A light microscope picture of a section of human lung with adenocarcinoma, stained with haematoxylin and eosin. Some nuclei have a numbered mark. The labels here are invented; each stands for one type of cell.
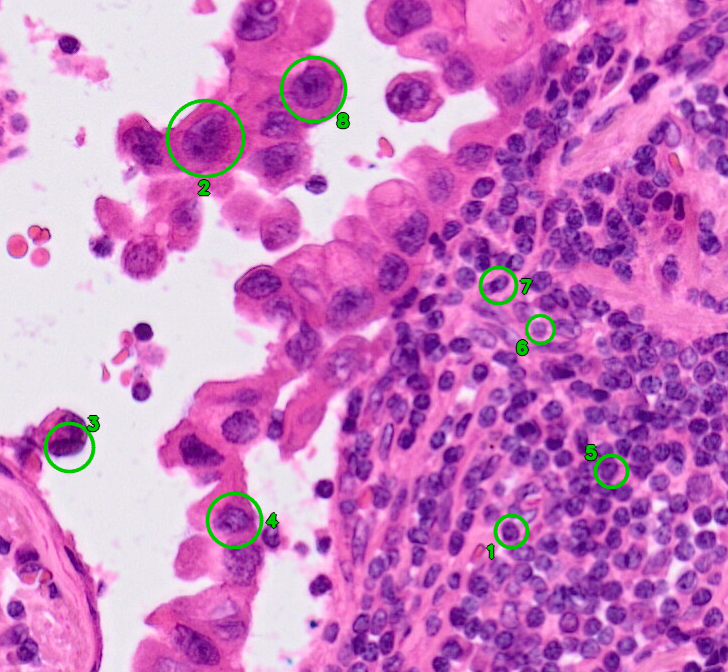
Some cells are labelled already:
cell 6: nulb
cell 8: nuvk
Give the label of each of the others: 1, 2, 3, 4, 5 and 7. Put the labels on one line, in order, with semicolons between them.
nulb; nuvk; nuvk; nuvk; nulb; nulb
